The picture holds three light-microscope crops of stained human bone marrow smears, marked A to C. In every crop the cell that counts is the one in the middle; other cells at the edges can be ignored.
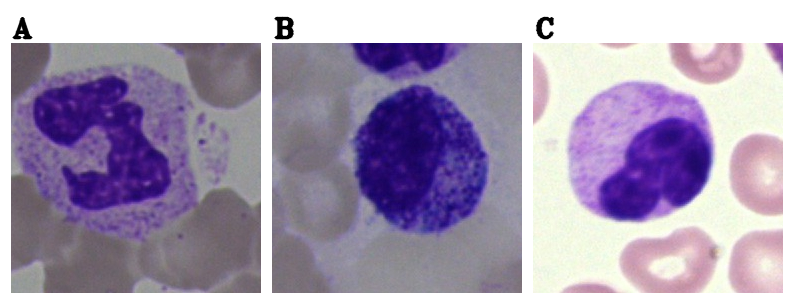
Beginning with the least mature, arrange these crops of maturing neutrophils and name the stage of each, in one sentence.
Ordered from the youngest stage to the most mature, the crops are crop B (a promyelocyte), crop C (a band neutrophil) and crop A (a segmented neutrophil).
